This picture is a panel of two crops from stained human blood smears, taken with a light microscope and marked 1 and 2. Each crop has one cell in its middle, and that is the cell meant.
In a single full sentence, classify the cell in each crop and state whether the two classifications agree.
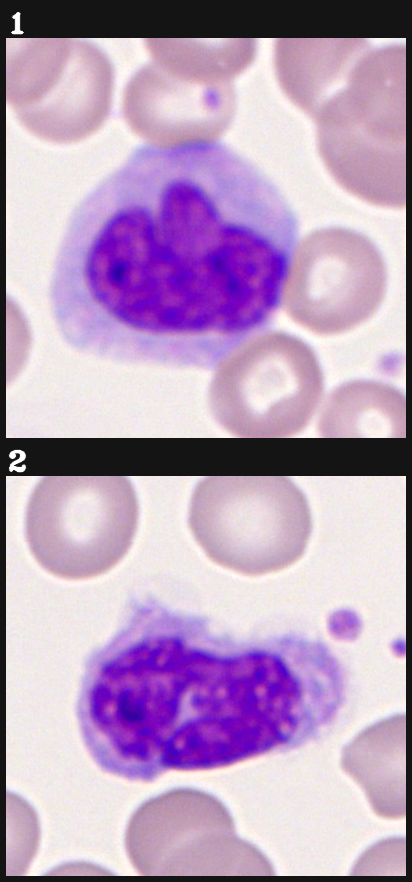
Yes, both crops feature monocytes at the centre.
